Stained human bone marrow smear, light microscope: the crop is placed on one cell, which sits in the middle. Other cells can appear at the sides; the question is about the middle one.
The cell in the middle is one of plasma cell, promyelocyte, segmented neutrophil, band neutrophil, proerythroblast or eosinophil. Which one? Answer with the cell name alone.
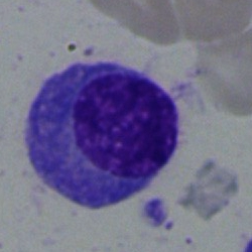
plasma cell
